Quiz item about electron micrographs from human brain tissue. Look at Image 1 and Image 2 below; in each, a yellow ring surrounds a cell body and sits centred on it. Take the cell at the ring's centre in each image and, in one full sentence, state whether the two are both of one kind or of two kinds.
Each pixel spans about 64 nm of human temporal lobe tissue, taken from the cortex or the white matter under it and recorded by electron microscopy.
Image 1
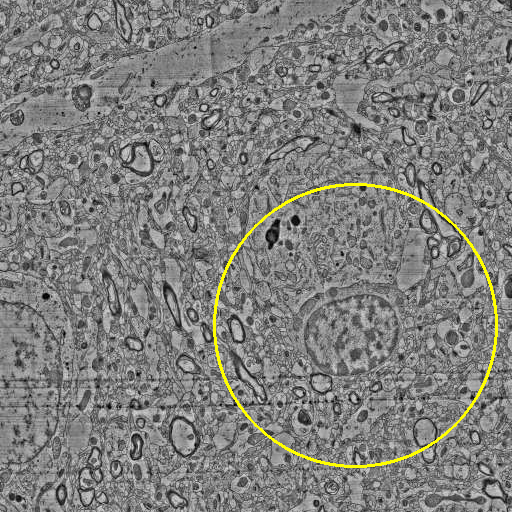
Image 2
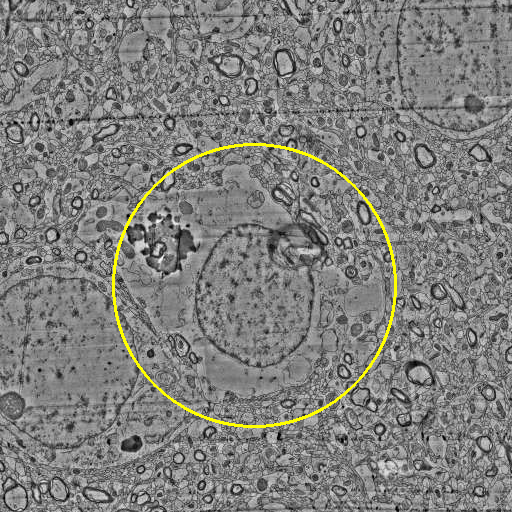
In Image 1 and Image 2, the cells at the ring centres are of two kinds.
